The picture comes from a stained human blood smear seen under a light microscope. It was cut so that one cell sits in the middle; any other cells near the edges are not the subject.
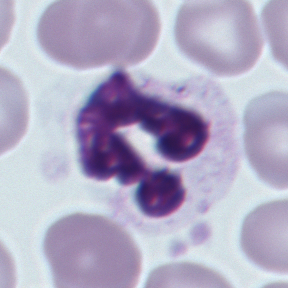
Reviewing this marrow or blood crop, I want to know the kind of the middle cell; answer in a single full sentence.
On this slide crop, the central cell is a segmented neutrophil.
